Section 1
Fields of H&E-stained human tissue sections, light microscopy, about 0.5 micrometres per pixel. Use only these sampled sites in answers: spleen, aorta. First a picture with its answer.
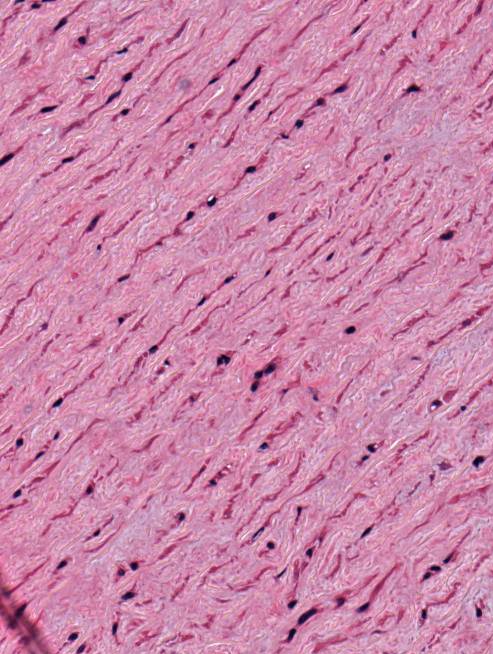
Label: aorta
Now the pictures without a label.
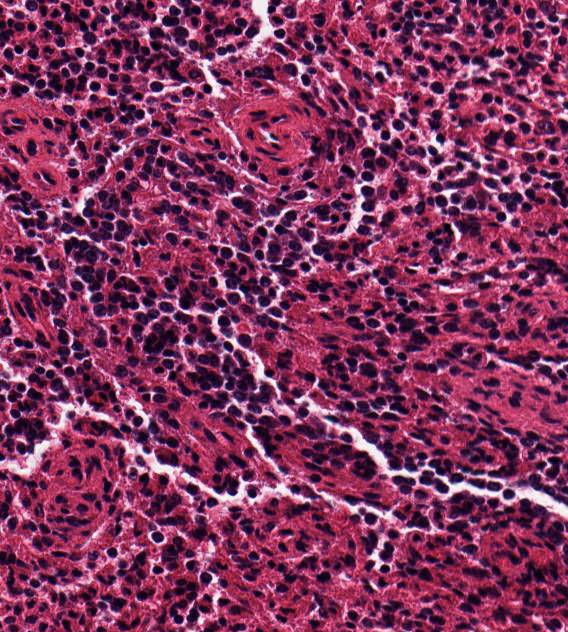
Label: spleen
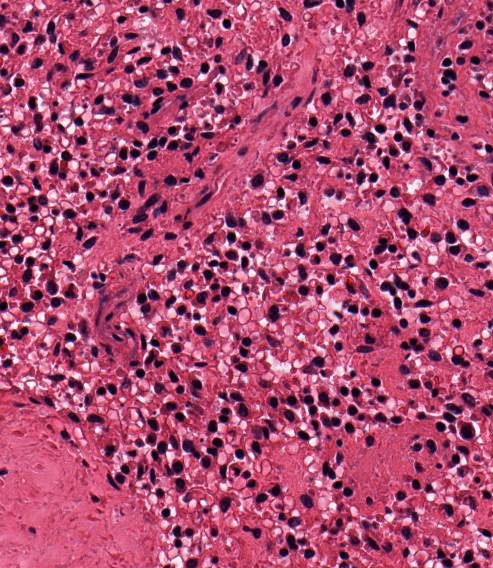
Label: spleen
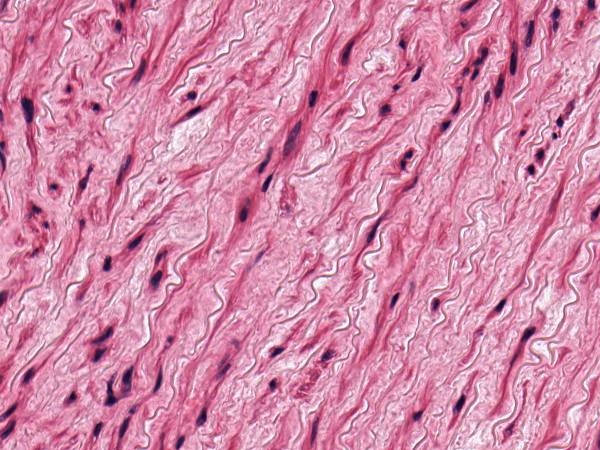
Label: aorta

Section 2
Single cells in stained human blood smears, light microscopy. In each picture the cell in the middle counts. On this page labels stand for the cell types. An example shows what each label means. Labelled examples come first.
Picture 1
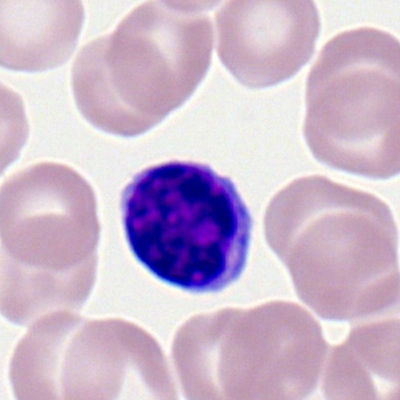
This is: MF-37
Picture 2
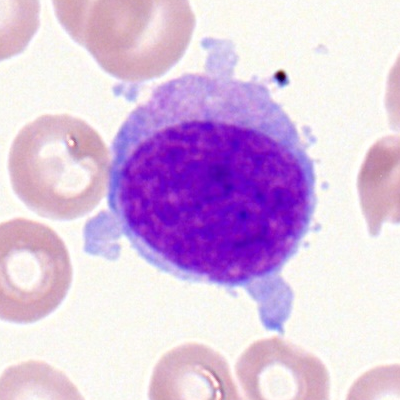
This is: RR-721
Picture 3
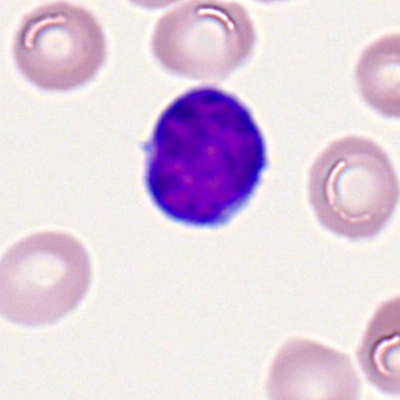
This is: MF-37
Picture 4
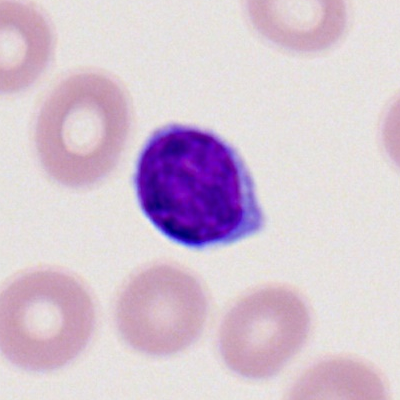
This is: MF-37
